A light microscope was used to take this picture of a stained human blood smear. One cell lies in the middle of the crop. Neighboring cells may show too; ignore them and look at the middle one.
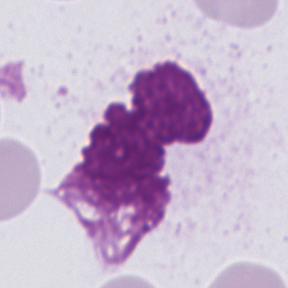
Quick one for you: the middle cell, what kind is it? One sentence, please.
Looking at the middle of the crop, the cell there is a smudge cell.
